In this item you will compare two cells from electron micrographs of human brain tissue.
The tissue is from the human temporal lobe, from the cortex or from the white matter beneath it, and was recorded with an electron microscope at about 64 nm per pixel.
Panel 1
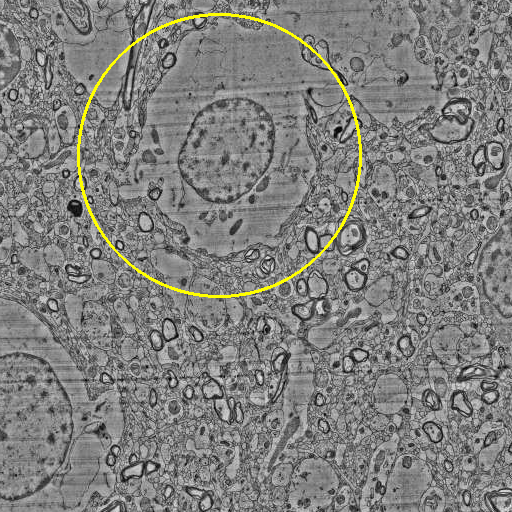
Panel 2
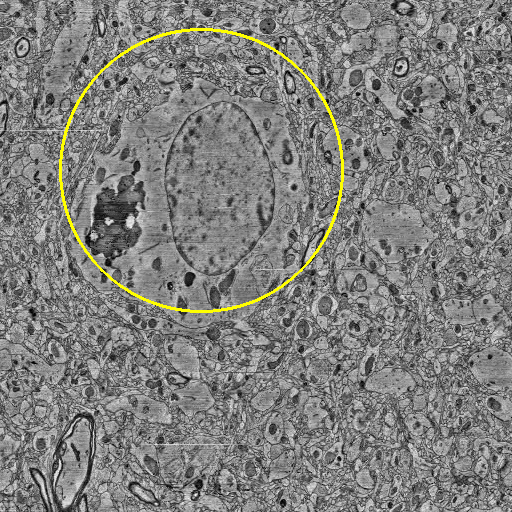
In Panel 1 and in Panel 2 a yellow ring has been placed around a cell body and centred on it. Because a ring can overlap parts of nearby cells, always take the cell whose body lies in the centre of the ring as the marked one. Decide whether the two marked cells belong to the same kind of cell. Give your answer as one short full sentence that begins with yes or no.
Yes, the two marked cells belong to the same kind of cell.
